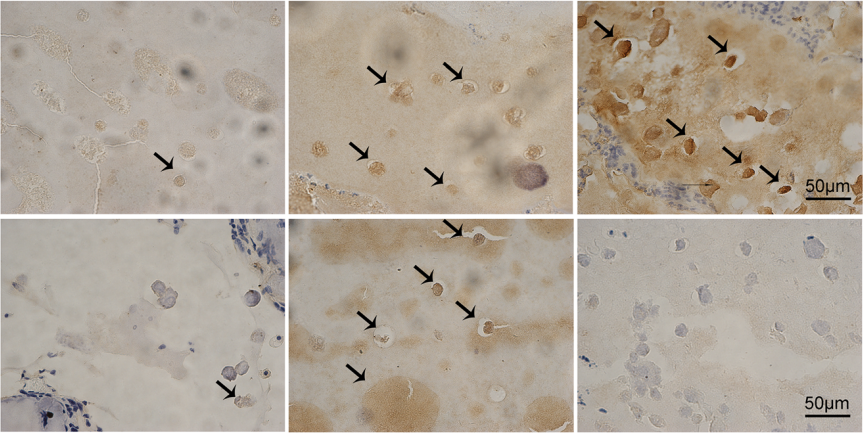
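These are sections of cartilage-like tissue in which rounded cells sit singly in small spaces scattered through a pale extracellular matrix. Brown stain lies in and around many of these cells, strongest in the upper right image, where the matrix itself is also brown, while in the lower right image the cells show only blue-counterstained nuclei without brown.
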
